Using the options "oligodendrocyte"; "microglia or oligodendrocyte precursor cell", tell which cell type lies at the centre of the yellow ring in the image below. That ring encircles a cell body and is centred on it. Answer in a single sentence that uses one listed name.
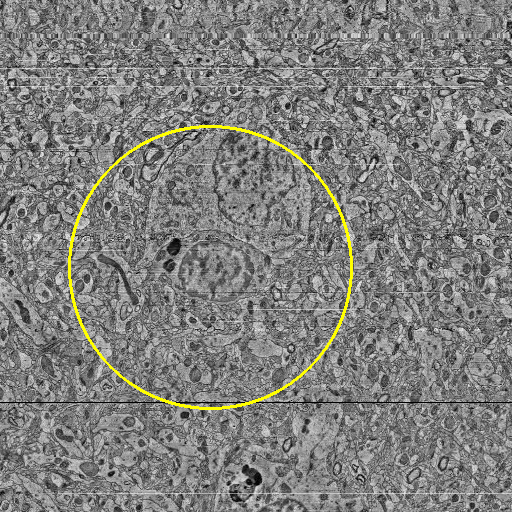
At the centre of the yellow ring lies the body of an oligodendrocyte.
